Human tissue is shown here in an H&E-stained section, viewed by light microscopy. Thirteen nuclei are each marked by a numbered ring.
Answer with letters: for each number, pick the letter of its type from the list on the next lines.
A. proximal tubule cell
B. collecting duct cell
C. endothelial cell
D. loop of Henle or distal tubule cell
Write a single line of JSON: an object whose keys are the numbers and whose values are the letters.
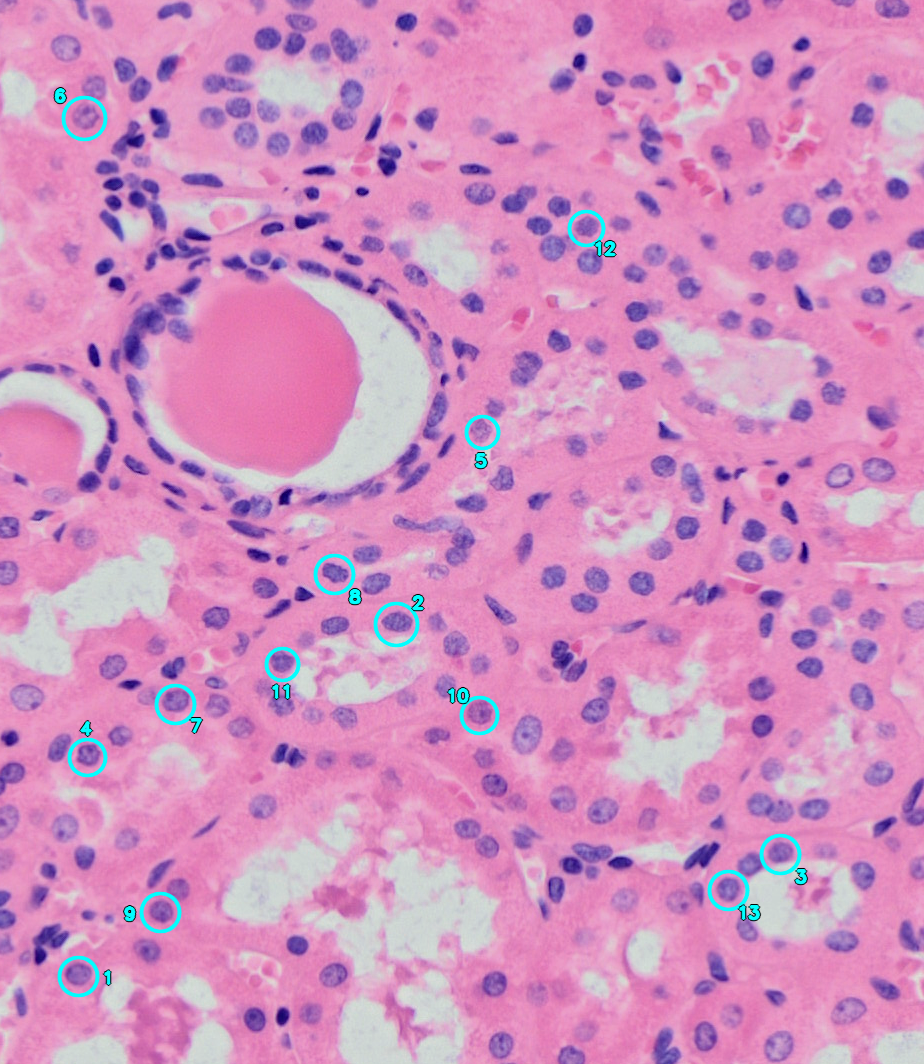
{"1": "A", "2": "D", "3": "D", "4": "A", "5": "D", "6": "A", "7": "A", "8": "D", "9": "A", "10": "A", "11": "D", "12": "D", "13": "D"}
